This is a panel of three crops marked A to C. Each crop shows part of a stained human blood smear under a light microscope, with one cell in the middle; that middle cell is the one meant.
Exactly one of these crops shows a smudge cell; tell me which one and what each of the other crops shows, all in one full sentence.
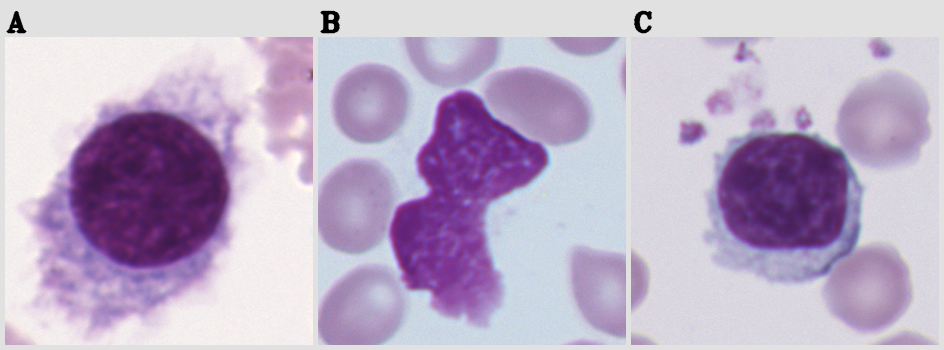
Of the crops, crop B shows a smudge cell, while crop A is a hairy cell and crop C is a typical lymphocyte.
